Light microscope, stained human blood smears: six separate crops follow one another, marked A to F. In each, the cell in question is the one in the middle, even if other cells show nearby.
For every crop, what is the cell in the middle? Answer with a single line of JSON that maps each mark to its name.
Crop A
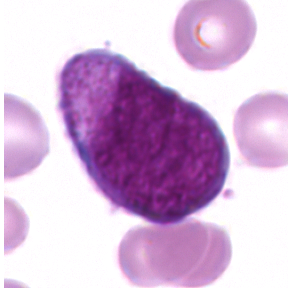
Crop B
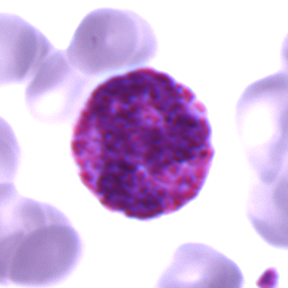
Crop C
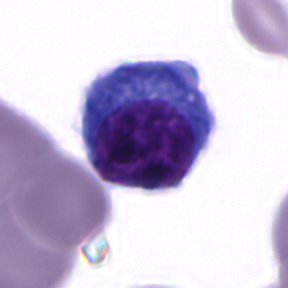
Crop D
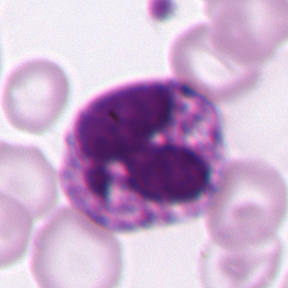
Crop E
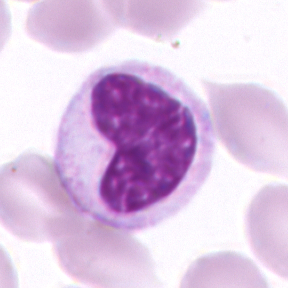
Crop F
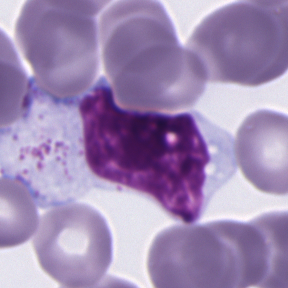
{"A": "atypical promyelocyte", "B": "basophil", "C": "plasma cell", "D": "basophil", "E": "metamyelocyte", "F": "large granular lymphocyte"}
